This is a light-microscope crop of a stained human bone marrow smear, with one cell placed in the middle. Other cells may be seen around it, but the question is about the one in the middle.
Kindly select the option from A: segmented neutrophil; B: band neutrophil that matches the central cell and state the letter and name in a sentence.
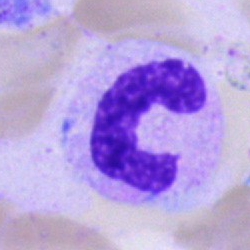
That the central cell is a band neutrophil makes option B correct.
